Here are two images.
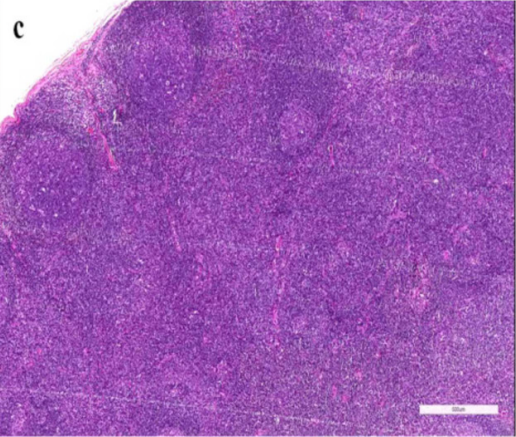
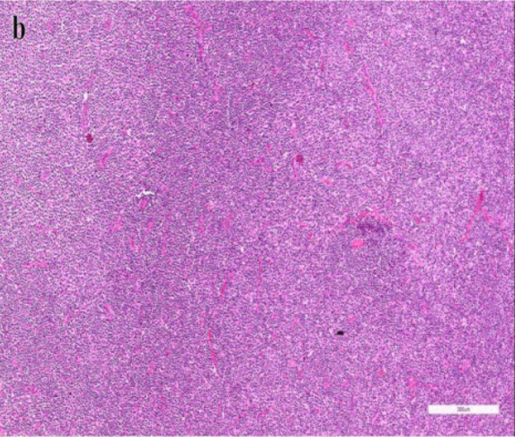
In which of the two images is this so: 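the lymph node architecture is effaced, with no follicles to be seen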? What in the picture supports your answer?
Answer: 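Second image: a uniform sheet of cells without any follicles or nodules.
Conclusion: the second image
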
